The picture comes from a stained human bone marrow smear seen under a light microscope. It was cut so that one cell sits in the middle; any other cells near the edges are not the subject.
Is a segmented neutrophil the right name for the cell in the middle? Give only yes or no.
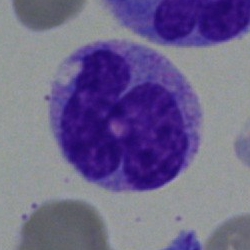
no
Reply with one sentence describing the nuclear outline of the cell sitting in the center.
The nuclear outline breaks up into two or more lobes.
